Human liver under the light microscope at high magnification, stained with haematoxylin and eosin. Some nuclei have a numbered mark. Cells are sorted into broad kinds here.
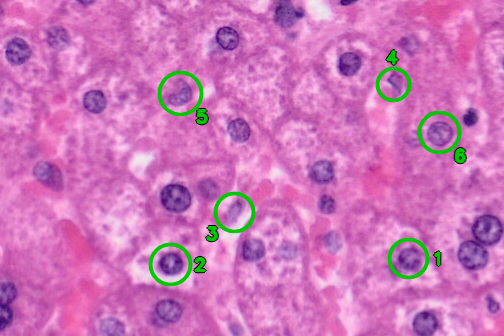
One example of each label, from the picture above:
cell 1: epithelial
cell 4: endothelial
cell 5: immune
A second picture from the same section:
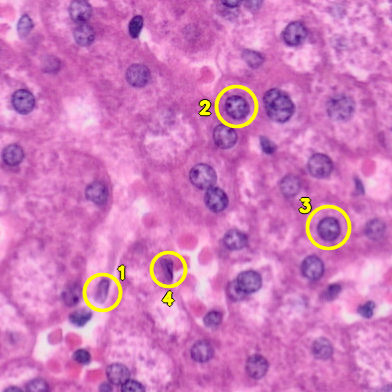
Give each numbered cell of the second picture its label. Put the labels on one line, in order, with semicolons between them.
immune; epithelial; epithelial; endothelial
